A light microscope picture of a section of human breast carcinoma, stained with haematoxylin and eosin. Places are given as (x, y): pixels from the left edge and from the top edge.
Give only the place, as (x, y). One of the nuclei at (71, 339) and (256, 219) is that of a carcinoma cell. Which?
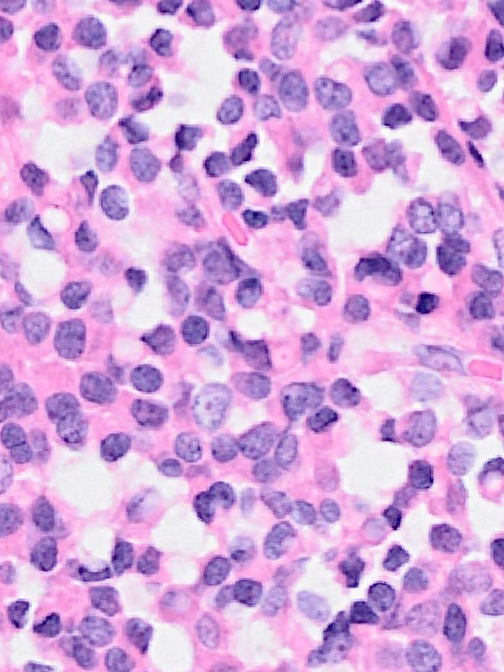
(71, 339)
